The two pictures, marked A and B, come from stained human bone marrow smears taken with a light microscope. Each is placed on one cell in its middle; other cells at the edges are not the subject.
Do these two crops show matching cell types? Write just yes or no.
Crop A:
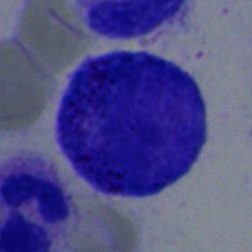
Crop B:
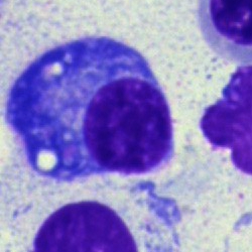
no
